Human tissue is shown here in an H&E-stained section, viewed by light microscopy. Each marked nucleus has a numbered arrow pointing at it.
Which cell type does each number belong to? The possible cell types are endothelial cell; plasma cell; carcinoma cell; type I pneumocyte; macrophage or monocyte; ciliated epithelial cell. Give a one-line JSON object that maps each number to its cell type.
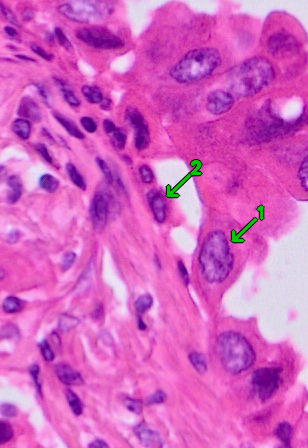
{"1": "carcinoma cell", "2": "macrophage or monocyte"}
